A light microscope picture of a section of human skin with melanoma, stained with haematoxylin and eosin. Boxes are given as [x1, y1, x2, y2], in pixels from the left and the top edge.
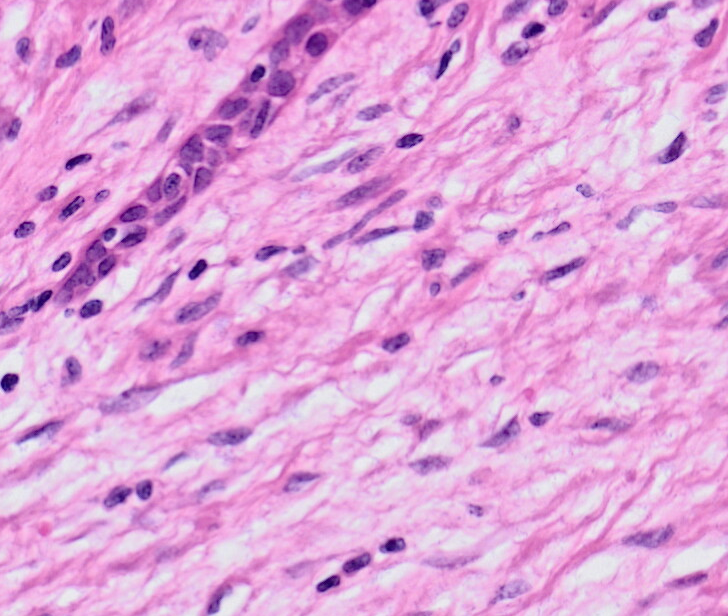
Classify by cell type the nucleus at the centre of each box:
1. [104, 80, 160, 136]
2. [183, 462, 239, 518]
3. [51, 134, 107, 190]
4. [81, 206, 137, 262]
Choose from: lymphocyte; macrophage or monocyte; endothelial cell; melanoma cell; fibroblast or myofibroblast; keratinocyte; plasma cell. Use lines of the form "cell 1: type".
cell 1: fibroblast or myofibroblast
cell 2: fibroblast or myofibroblast
cell 3: lymphocyte
cell 4: lymphocyte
